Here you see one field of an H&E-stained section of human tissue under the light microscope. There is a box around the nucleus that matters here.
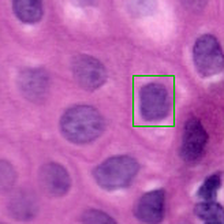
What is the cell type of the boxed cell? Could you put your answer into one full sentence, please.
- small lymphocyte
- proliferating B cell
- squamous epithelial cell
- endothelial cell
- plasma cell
In the stained section, the boxed cell is a squamous epithelial cell.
